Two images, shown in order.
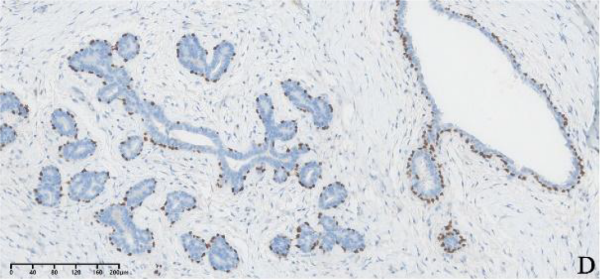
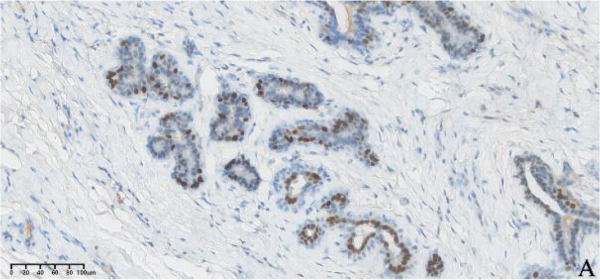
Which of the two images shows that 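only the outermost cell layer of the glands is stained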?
The first image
